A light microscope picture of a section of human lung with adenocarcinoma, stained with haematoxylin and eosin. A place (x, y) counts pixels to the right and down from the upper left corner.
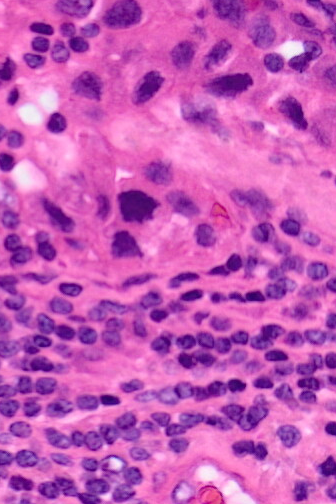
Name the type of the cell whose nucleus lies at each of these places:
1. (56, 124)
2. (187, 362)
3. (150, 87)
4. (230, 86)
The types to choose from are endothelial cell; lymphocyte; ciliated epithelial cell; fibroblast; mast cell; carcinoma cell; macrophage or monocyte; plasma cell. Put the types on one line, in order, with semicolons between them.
lymphocyte; lymphocyte; carcinoma cell; carcinoma cell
